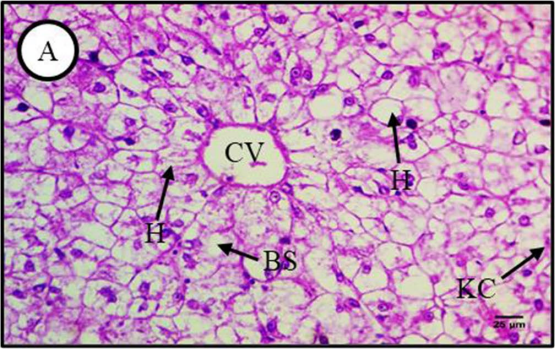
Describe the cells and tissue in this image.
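This is liver tissue made of hepatocytes arranged in cords that radiate from a central vein, which appears as a small, round, empty lumen lined by a thin wall. The hepatocytes are polygonal, with clear, pale, finely foamy cytoplasm and sharp pink cell borders. The overall architecture is orderly and regular.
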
